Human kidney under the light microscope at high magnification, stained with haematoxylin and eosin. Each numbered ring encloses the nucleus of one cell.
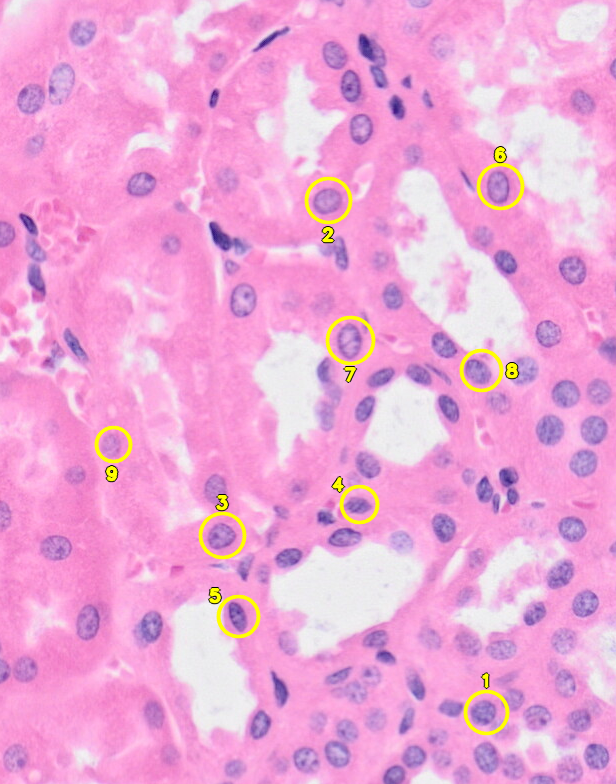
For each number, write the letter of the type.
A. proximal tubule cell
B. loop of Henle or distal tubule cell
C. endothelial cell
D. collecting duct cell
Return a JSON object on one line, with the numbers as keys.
{"1": "B", "2": "A", "3": "A", "4": "C", "5": "B", "6": "A", "7": "A", "8": "B", "9": "A"}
